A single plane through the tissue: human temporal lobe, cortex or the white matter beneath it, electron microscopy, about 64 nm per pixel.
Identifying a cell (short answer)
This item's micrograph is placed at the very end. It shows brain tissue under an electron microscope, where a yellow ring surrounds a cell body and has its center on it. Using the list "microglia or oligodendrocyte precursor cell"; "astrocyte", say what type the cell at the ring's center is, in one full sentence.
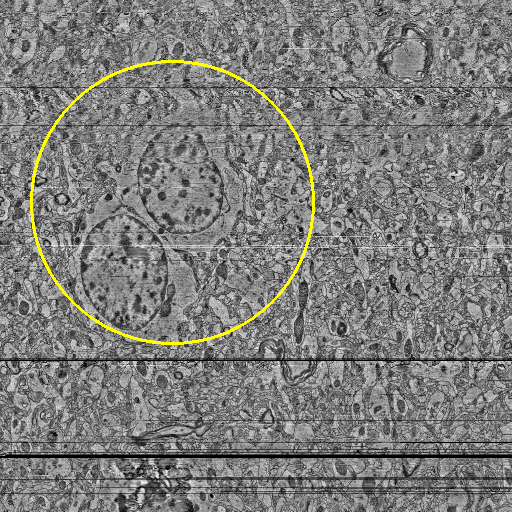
This picture shows an astrocyte at the center of the yellow ring drawn on it.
